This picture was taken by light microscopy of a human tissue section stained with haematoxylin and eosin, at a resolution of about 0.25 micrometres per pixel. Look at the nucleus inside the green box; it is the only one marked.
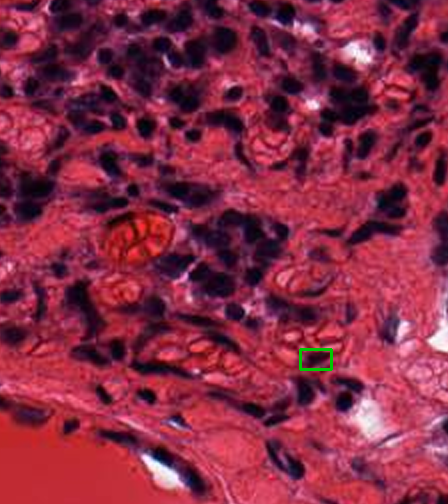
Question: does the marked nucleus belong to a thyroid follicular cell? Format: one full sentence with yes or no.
No, the nucleus that is marked belongs to a supporting cell rather than to a thyroid follicular cell.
